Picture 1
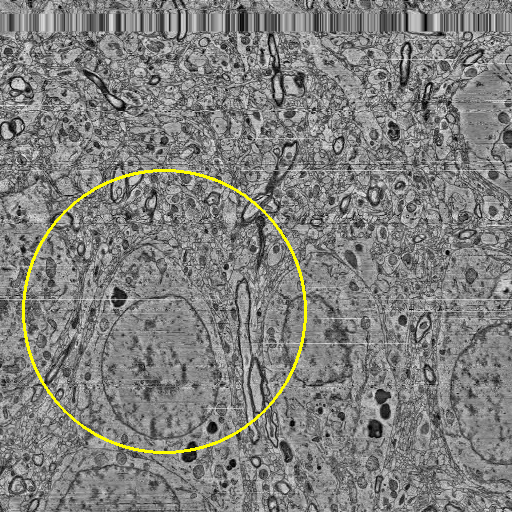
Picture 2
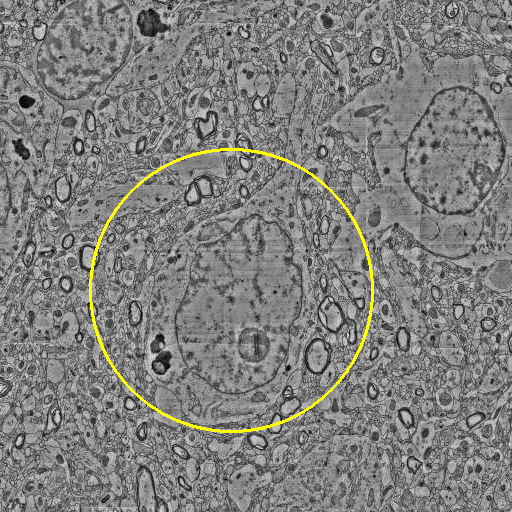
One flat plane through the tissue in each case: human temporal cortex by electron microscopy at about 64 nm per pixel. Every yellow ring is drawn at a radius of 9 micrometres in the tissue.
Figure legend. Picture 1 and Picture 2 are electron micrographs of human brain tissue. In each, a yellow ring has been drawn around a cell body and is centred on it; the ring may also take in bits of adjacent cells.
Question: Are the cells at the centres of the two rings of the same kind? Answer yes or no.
yes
